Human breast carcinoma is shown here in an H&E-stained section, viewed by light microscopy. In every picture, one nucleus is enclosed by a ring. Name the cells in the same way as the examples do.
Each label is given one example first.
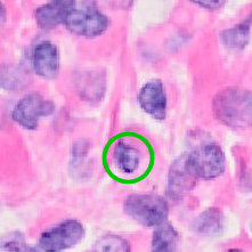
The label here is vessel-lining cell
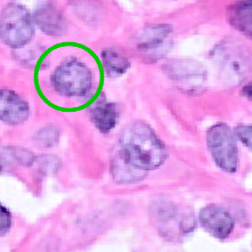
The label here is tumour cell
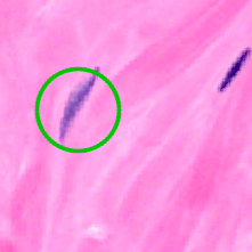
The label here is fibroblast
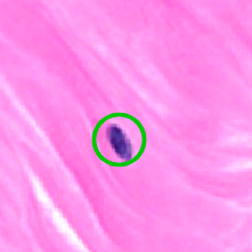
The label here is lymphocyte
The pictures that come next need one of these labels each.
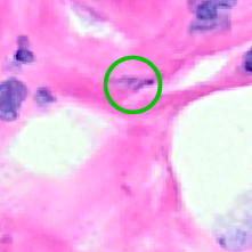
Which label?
fibroblast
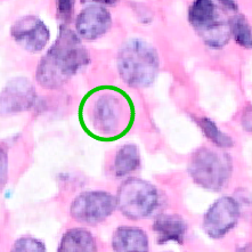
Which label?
tumour cell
